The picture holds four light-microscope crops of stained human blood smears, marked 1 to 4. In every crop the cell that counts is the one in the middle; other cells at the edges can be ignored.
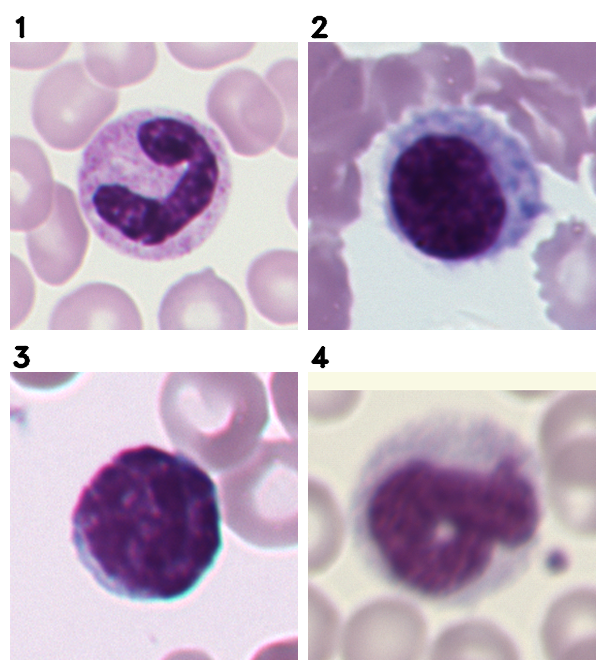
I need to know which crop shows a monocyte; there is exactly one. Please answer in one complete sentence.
Crop 4, and no other, is the one that shows a monocyte.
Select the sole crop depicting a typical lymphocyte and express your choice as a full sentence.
Crop 3 is where a typical lymphocyte is to be found.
